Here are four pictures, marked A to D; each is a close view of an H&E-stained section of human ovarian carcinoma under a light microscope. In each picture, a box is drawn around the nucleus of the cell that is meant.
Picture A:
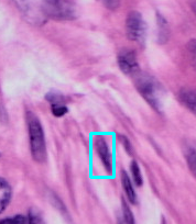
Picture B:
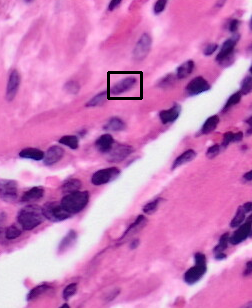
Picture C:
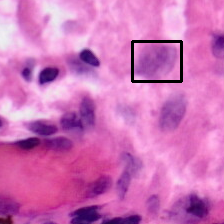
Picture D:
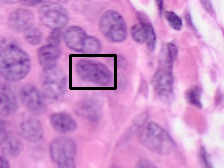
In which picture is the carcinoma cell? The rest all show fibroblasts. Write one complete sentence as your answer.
The cell in picture D is the carcinoma cell.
